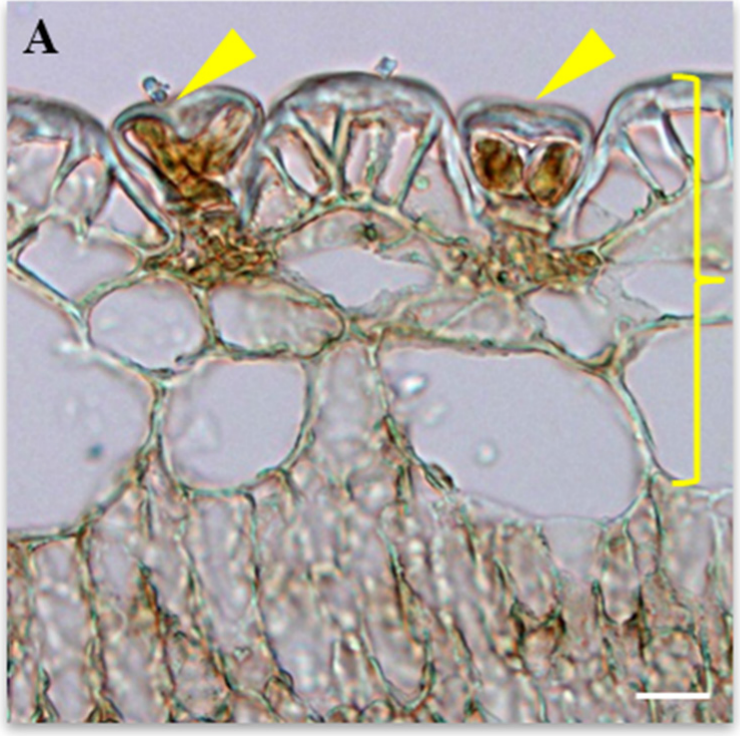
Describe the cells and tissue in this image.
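This transverse section shows the upper surface of a leaf, where the adaxial epidermal layer carries two salt glands. Each gland is a small cluster of a few cells packed with brown contents, sunk into the outermost cell layer and covered by a dome-shaped cap at the surface. Beneath the surface lie one to two layers of large, clear, thin-walled cells with empty-looking interiors. Deeper still, the tissue becomes a denser meshwork of smaller, elongated cells with brownish walls.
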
